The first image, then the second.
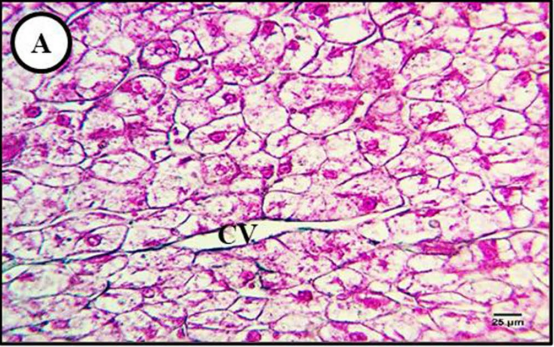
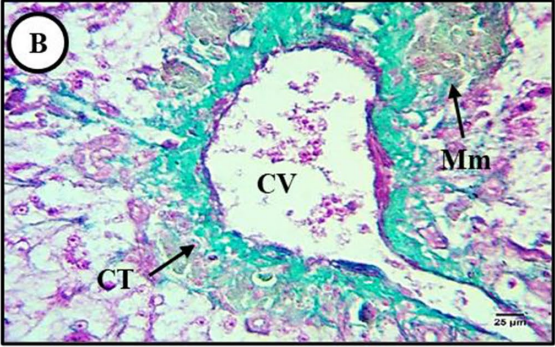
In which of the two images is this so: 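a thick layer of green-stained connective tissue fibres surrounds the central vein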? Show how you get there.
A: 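The second image. Second image: a broad green band of fibres encircles the dilated vein. First image: the slit-like vein has only a thin rim of fibres, with hepatocytes close against it.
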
